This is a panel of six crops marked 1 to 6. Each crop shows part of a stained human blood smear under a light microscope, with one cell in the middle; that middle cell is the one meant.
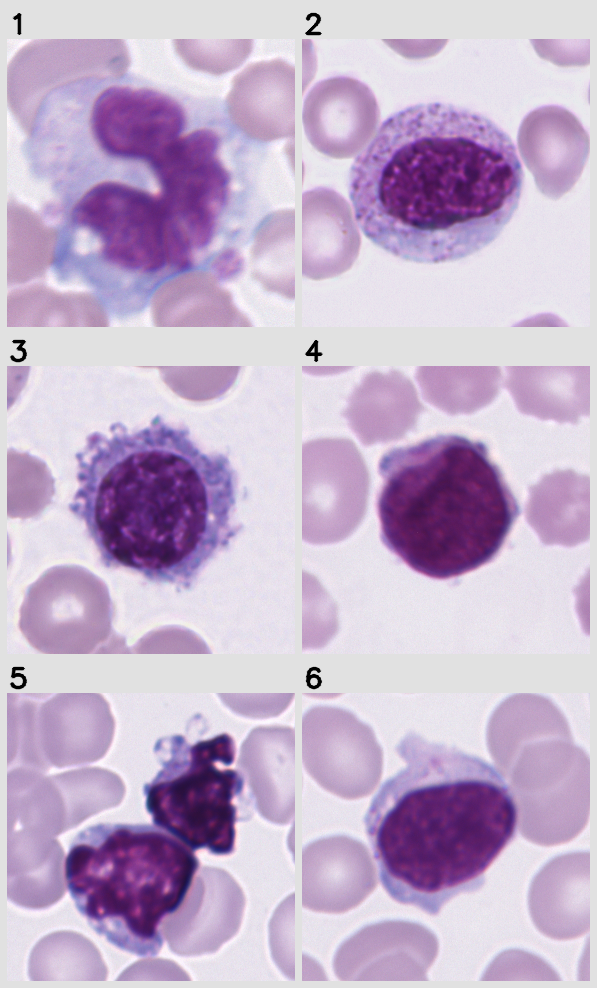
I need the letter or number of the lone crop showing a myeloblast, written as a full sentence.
The cell identified as a myeloblast is the one in crop 4.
